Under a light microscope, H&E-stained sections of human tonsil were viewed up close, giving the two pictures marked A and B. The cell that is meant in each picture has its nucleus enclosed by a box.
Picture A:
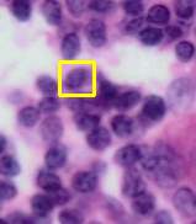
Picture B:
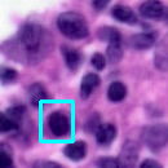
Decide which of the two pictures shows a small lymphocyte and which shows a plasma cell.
A: small lymphocyte
B: plasma cell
